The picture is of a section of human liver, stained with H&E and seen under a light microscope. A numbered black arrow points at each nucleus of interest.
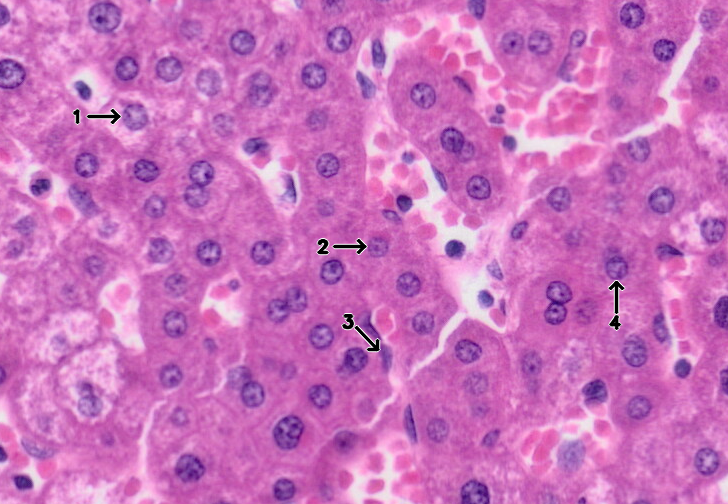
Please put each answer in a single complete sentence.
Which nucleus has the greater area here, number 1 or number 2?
Nucleus 1 covers more area, about 1.5 times as much as nucleus 2.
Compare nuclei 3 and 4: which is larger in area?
Nucleus 4 is the larger one, covering about 1.5 times the area of nucleus 3.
